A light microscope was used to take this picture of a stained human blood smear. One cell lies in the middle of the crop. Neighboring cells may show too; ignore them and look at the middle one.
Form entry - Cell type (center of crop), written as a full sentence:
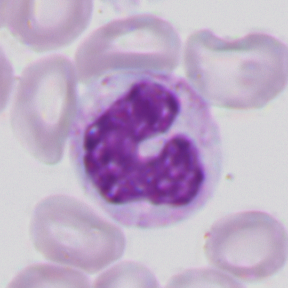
Framed in the middle of the crop is a band neutrophil.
